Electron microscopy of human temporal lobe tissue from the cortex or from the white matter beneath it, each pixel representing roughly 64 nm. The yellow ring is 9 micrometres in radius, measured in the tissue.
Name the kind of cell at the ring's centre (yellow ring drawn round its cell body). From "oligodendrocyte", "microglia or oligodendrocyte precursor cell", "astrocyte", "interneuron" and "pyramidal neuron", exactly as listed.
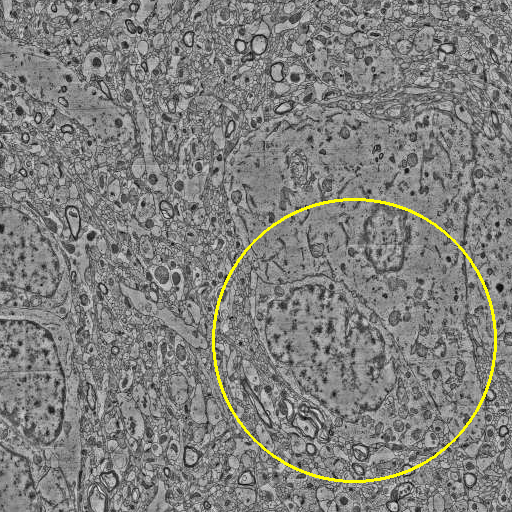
interneuron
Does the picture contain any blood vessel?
No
